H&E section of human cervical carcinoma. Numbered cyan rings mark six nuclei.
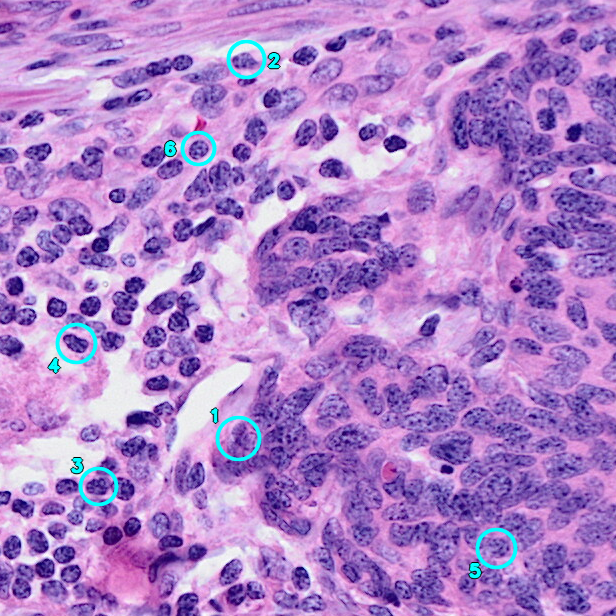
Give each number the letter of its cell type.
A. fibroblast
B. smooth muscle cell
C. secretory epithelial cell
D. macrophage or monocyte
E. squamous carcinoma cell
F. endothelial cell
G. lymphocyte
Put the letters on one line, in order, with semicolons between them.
E; G; G; G; E; G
